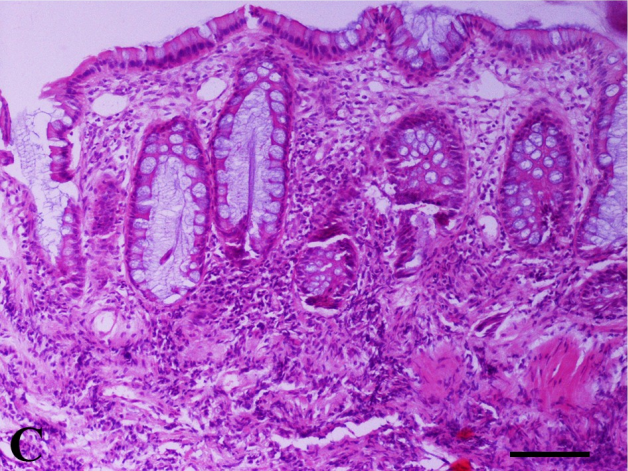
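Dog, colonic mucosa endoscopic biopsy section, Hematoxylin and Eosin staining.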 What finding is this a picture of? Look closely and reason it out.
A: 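The lamina propria below and between the crypts is crowded with small dark nuclei. Few crypts remain, widely separated by cellular stroma. On this evidence: Moderate infiltration of the lamina propria by lymphocytes.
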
